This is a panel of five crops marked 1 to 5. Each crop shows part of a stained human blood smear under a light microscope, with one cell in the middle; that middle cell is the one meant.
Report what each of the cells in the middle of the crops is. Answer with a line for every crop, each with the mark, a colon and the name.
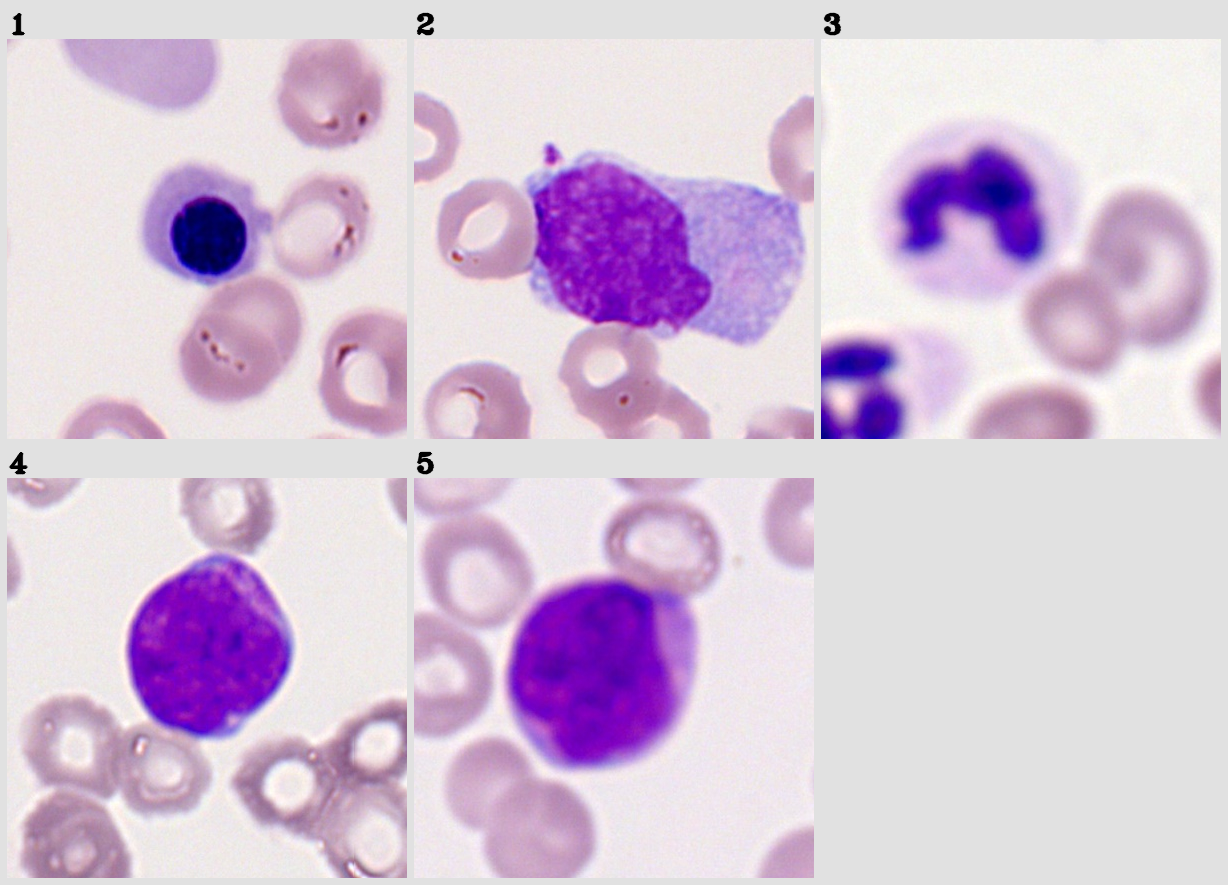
1: erythroblast
2: monocyte
3: segmented neutrophil
4: myeloblast
5: myeloblast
